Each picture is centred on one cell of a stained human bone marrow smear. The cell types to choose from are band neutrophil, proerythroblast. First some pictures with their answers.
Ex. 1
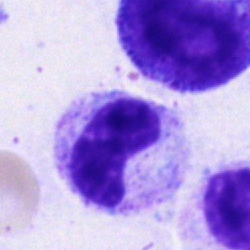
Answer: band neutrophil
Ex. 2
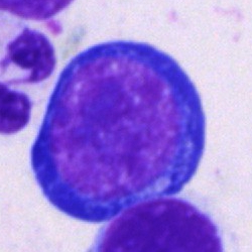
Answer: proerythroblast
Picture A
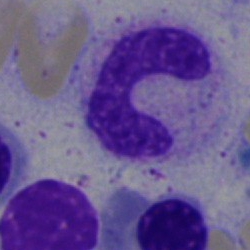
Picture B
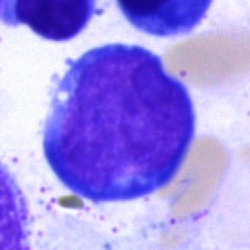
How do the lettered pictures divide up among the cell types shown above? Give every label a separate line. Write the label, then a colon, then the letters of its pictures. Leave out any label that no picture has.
band neutrophil: A
proerythroblast: B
